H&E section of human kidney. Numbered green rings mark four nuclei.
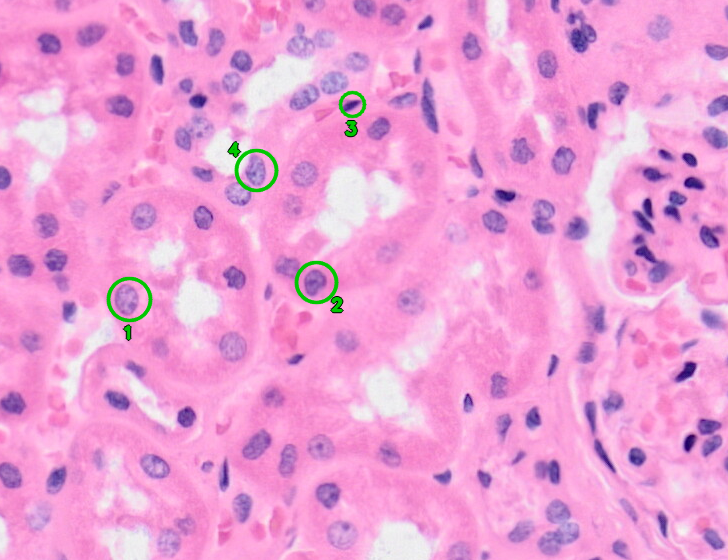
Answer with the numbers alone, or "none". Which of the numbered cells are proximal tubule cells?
1, 2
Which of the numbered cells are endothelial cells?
3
